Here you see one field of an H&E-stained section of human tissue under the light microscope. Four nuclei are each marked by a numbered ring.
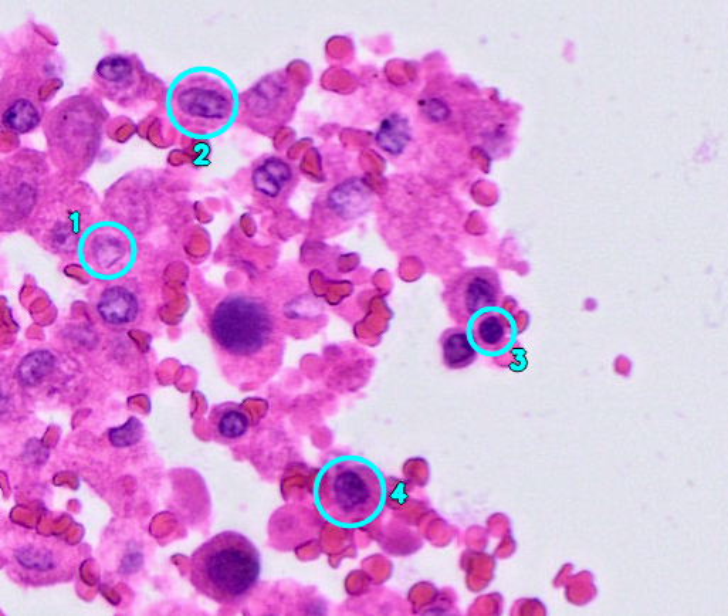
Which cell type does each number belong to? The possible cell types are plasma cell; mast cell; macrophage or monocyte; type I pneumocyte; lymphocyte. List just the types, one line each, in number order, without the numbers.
macrophage or monocyte
macrophage or monocyte
lymphocyte
macrophage or monocyte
